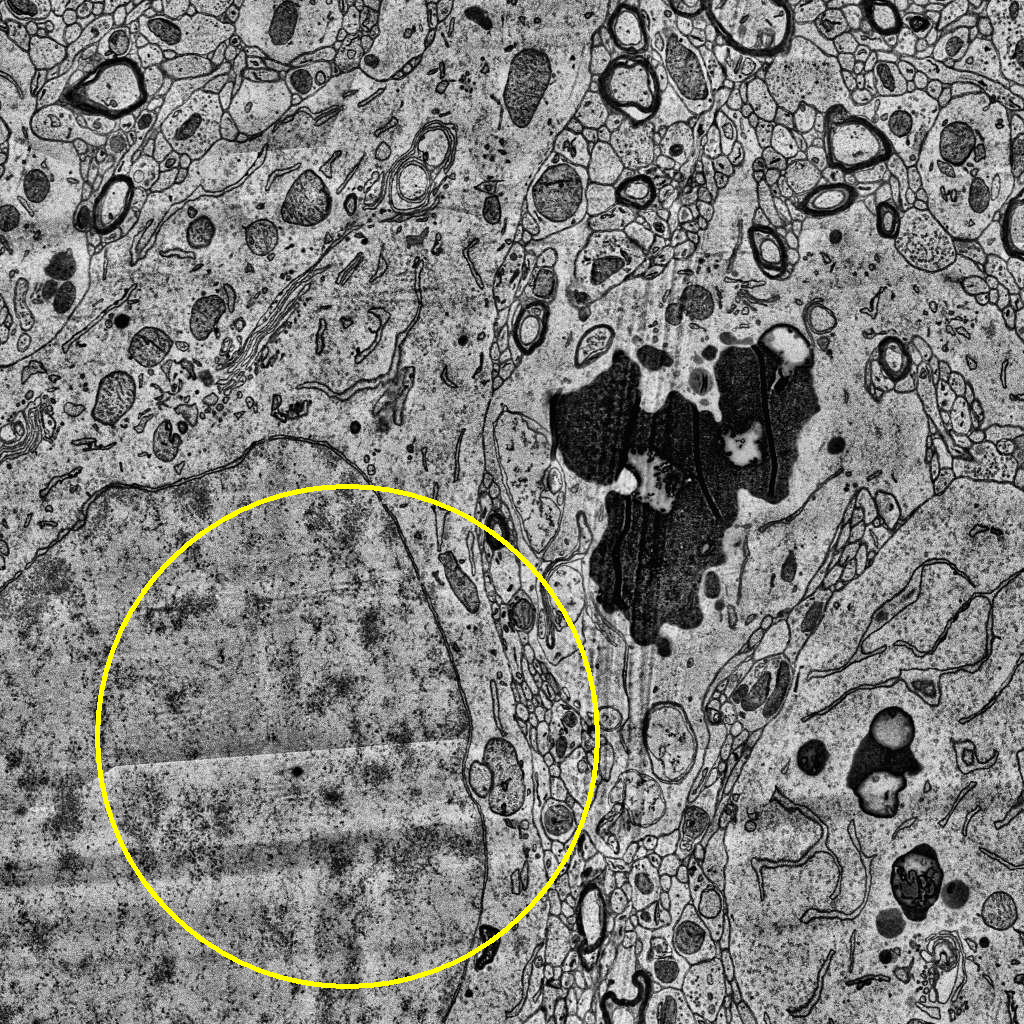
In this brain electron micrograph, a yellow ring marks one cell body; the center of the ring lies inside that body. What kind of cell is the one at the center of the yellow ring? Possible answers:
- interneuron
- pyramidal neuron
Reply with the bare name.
pyramidal neuron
